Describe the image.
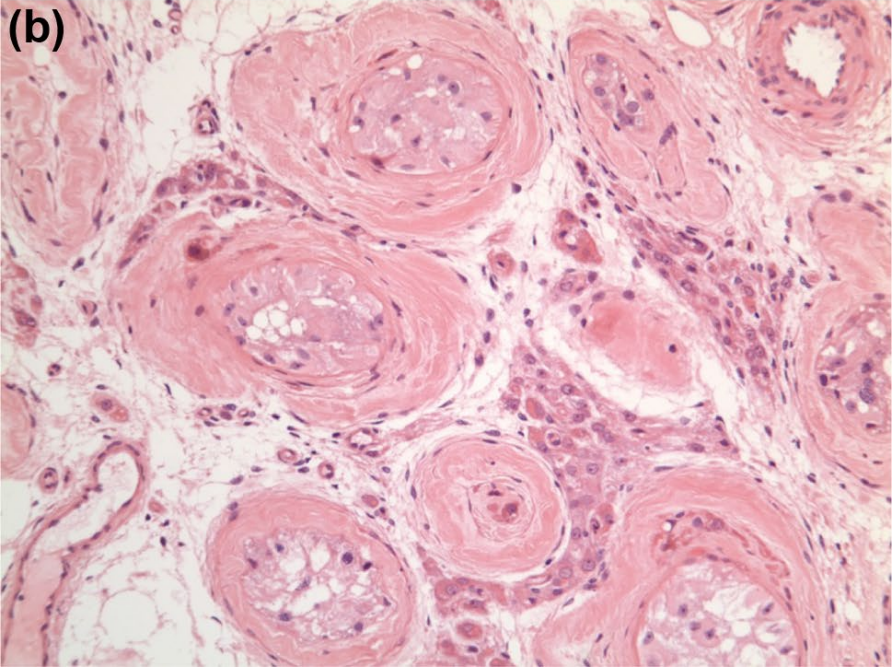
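This section shows atrophic, hyalinised seminiferous tubules with Leydig cells in the interstitium. Each tubule is reduced to a small core surrounded by a thick band of homogeneous, concentrically layered pink material. The cores hold only a few pale cells with vacuolated cytoplasm and no layered germ cells. Between the tubules, clusters of polygonal cells with eosinophilic cytoplasm and round nuclei stand out in a loose, pale stroma. Small blood vessels also run through the interstitium.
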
